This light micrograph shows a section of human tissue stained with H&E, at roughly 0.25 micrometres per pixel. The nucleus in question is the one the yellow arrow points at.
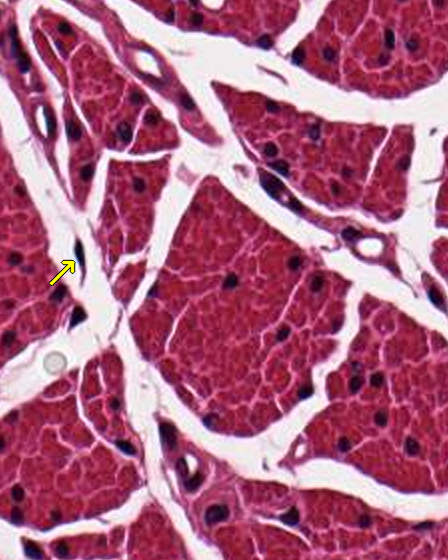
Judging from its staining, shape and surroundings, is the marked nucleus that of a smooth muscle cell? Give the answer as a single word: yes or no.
no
